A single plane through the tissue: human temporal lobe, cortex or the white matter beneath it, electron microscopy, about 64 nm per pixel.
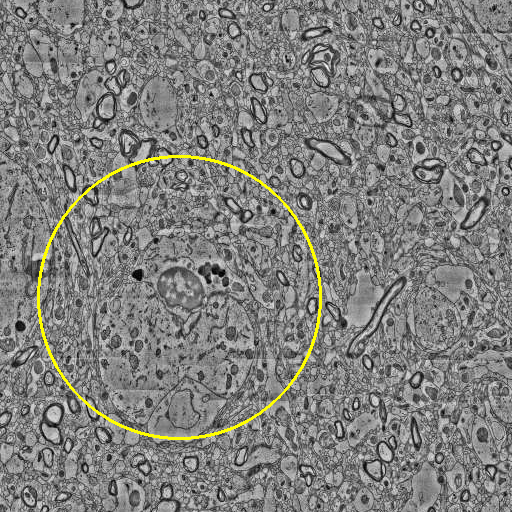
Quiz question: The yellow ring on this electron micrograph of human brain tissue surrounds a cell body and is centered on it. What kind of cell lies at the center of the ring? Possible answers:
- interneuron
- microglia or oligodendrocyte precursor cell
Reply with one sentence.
The ring's center lies on a microglial cell or oligodendrocyte precursor cell.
